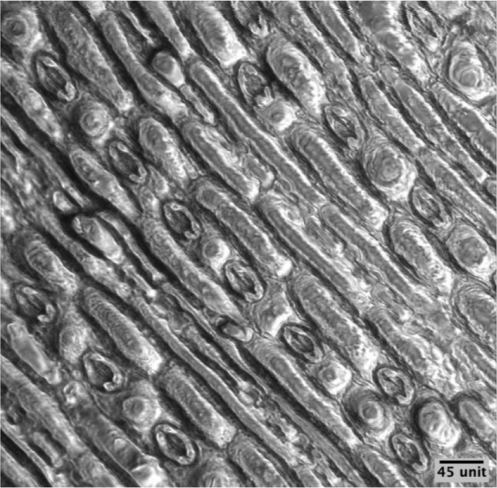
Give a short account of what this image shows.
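Surface view of a grass leaf epidermis in relief contrast. The cells lie in parallel longitudinal files running diagonally across the field. Long, narrow cells with straight side walls make up most of each file. Small rounded or squat cells are set between them. Stomata sit in some files. Each has two guard cells around a slit-like pore, flanked by paired subsidiary cells.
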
